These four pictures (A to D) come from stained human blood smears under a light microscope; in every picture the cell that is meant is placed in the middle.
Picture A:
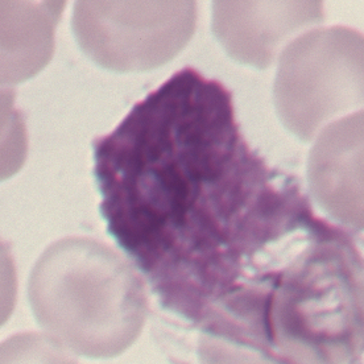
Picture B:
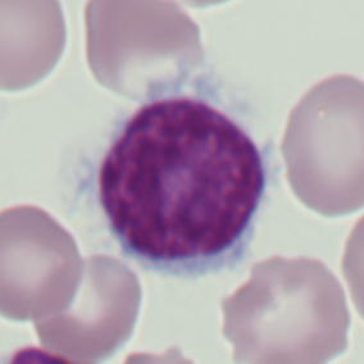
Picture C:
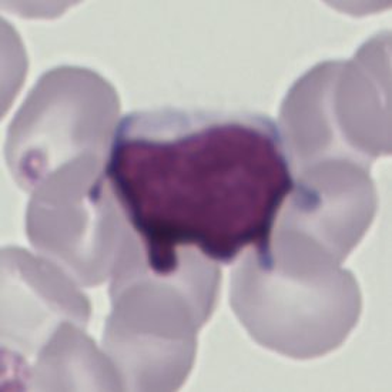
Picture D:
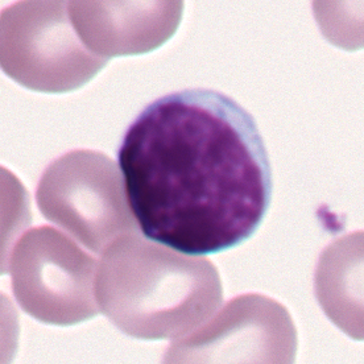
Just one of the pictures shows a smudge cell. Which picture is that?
A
